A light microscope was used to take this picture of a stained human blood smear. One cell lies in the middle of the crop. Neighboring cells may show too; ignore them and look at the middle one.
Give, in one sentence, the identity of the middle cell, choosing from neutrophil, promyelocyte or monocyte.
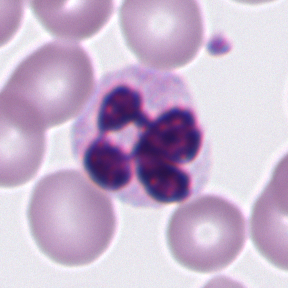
Classification of the middle cell gives a neutrophil.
